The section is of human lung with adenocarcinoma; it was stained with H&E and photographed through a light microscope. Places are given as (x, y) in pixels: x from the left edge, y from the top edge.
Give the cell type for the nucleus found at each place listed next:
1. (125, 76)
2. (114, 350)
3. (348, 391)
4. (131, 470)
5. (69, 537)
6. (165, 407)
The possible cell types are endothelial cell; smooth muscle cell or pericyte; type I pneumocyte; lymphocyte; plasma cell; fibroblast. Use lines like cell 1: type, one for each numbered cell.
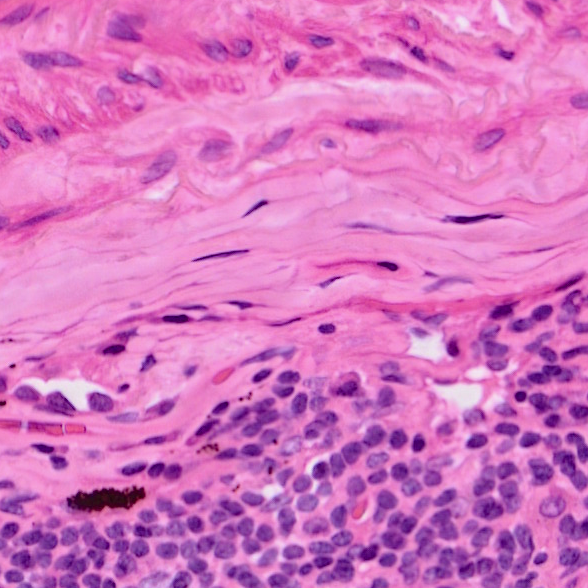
cell 1: smooth muscle cell or pericyte
cell 2: plasma cell
cell 3: plasma cell
cell 4: plasma cell
cell 5: lymphocyte
cell 6: plasma cell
